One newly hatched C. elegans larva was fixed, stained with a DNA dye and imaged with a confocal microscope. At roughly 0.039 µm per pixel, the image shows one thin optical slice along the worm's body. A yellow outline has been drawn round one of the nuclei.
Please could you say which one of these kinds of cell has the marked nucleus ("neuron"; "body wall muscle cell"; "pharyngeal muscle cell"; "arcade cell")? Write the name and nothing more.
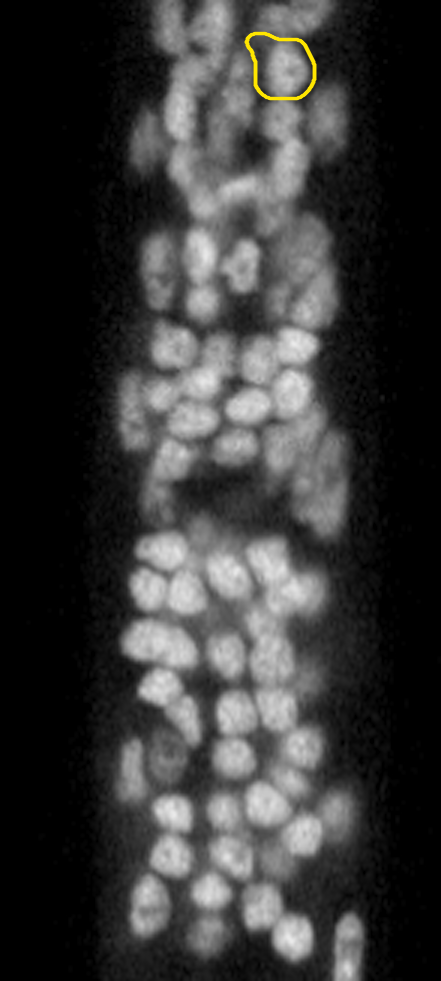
arcade cell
